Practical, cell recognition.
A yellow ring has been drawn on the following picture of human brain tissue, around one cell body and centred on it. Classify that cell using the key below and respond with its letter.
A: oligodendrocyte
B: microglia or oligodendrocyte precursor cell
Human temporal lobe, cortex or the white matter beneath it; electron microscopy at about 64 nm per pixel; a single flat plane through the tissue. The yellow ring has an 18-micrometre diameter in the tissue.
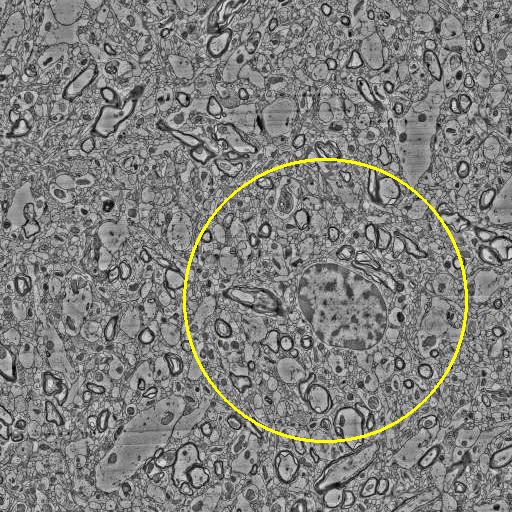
B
